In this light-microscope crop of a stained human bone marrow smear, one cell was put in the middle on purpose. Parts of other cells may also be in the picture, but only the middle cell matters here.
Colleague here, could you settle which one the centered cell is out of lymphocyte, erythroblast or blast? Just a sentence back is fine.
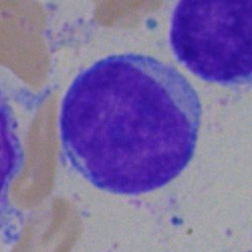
Present in the middle of the crop is a blast.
